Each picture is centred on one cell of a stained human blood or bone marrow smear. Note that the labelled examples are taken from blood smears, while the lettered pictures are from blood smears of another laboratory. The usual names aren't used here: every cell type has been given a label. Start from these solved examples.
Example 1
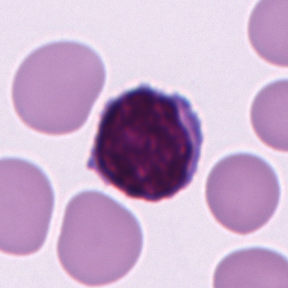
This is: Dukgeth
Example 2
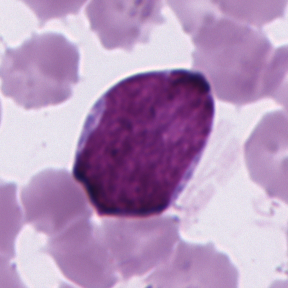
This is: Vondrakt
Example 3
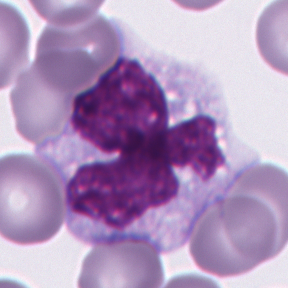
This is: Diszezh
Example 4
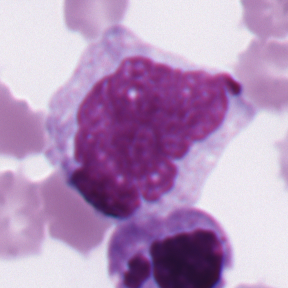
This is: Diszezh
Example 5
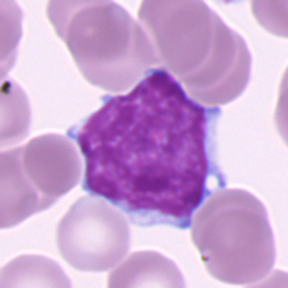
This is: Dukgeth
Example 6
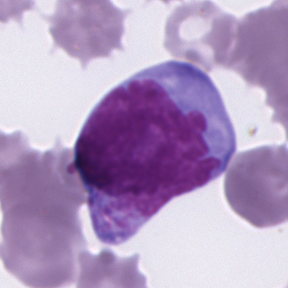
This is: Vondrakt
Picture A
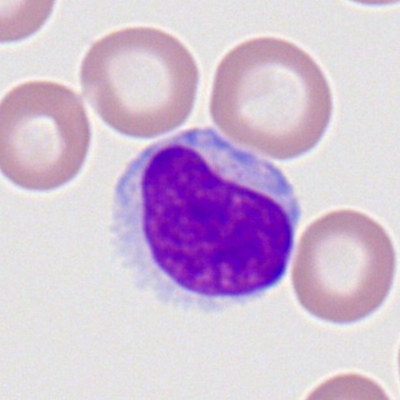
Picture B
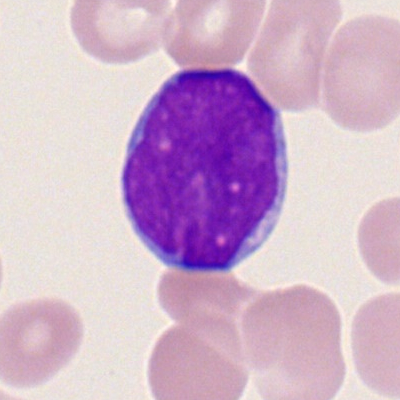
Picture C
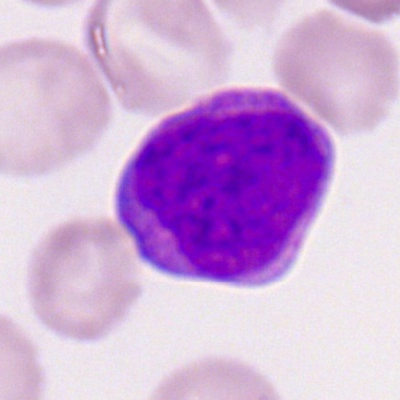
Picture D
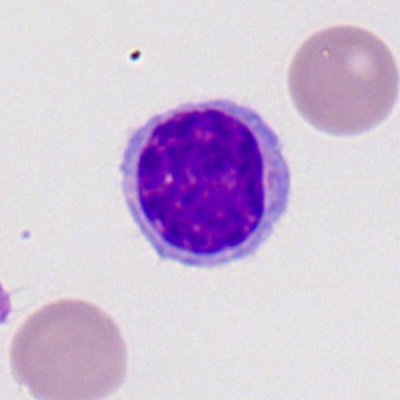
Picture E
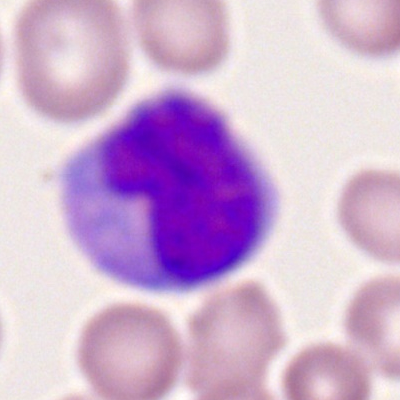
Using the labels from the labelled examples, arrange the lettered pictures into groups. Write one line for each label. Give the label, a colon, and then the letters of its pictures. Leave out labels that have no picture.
Dukgeth: A, D
Vondrakt: B, C
Diszezh: E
